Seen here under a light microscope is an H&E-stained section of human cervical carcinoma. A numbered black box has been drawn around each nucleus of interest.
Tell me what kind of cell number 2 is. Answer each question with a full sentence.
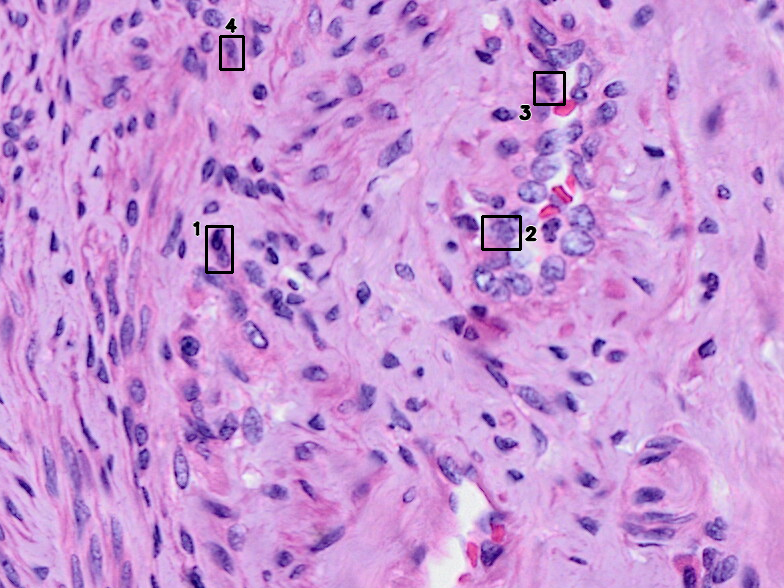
The cell pointed out as number 2 is an endothelial cell.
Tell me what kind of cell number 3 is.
Cell 3 of the marked set is an endothelial cell.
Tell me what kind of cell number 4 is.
Identified by the number 4, the cell is a smooth muscle cell.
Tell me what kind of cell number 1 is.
The nucleus with number 1 is that of an endothelial cell.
